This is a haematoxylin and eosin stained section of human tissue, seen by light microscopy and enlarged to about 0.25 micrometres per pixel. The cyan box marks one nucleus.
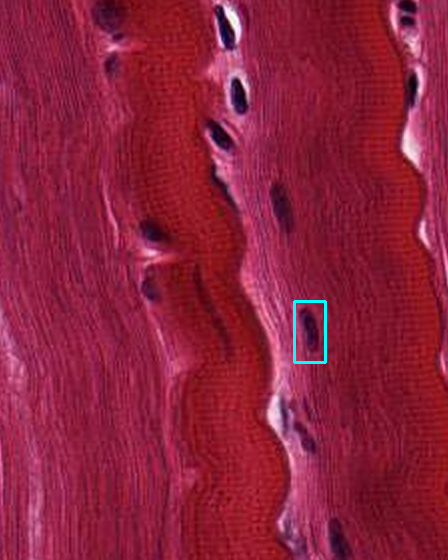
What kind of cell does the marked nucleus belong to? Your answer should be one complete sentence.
The nucleus that the mark indicates belongs to a skeletal muscle fibre.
